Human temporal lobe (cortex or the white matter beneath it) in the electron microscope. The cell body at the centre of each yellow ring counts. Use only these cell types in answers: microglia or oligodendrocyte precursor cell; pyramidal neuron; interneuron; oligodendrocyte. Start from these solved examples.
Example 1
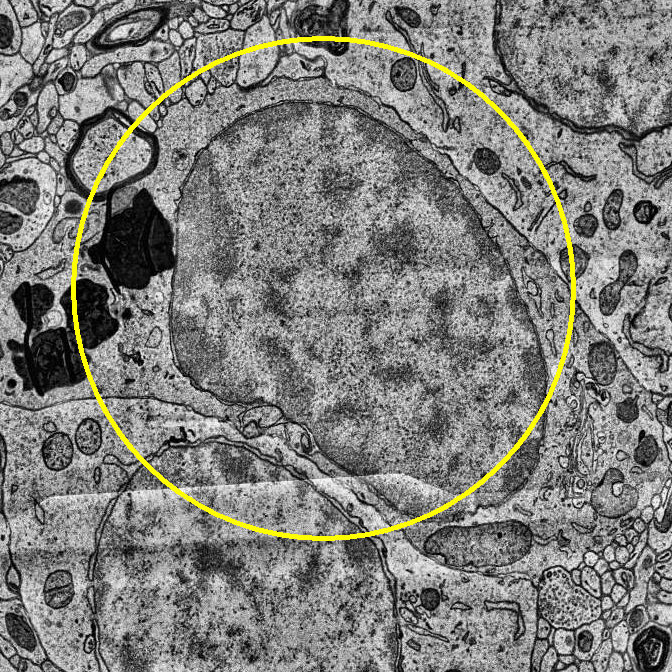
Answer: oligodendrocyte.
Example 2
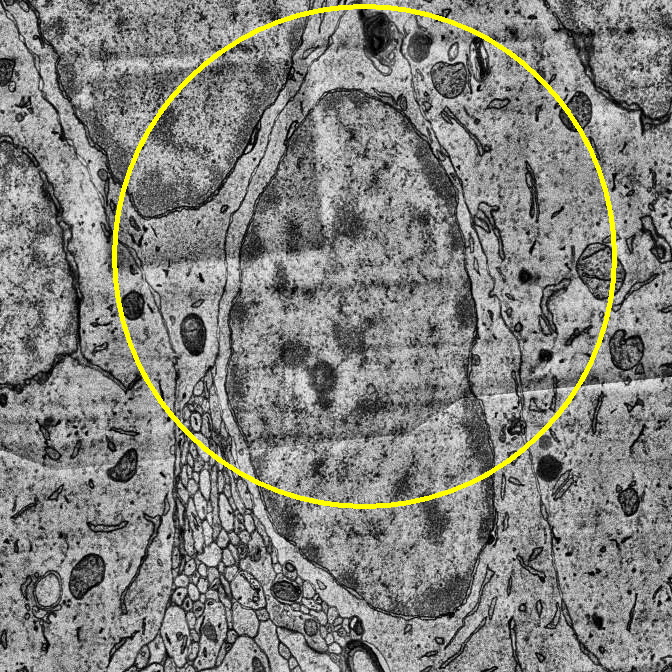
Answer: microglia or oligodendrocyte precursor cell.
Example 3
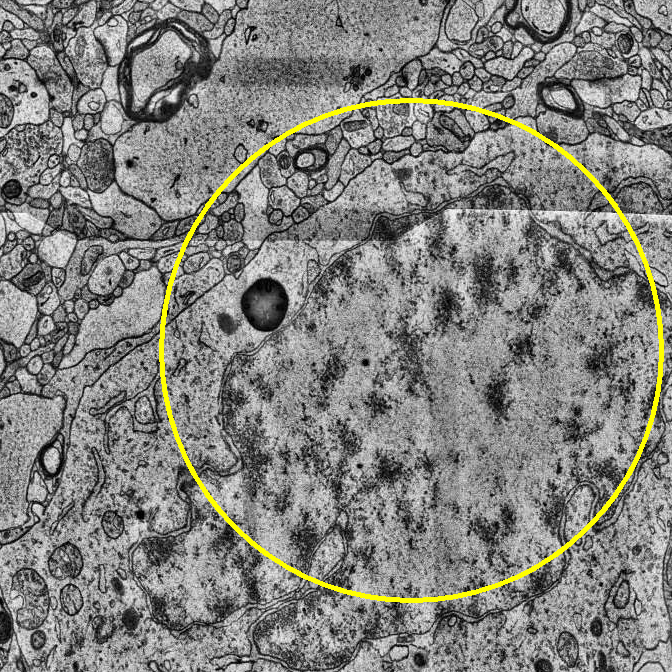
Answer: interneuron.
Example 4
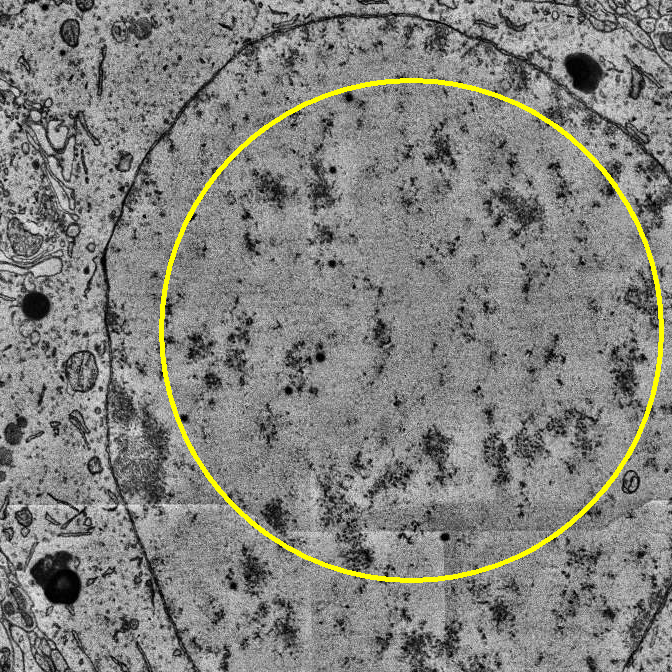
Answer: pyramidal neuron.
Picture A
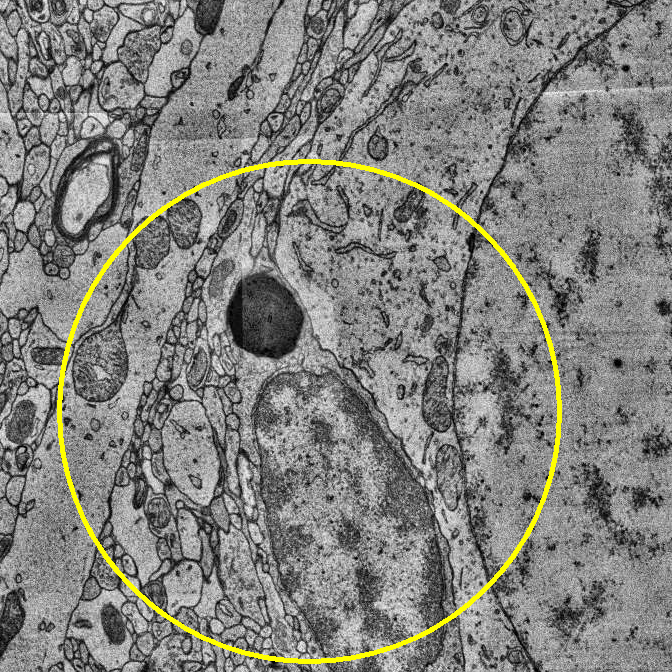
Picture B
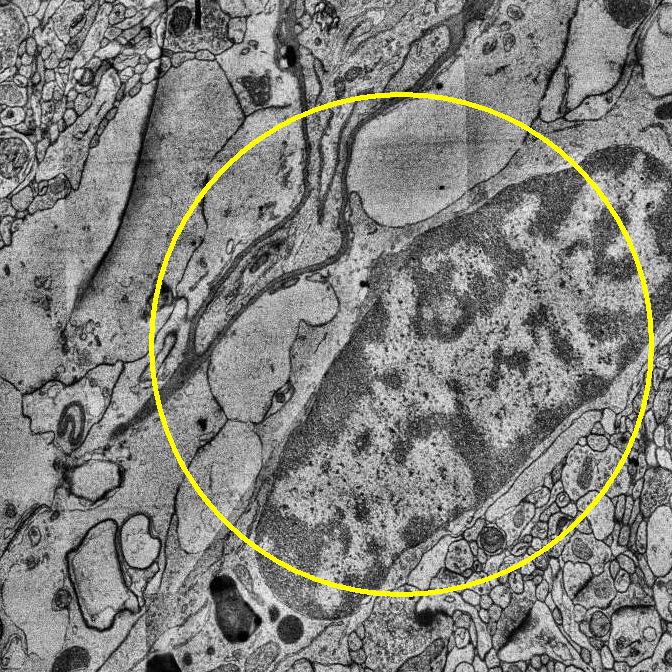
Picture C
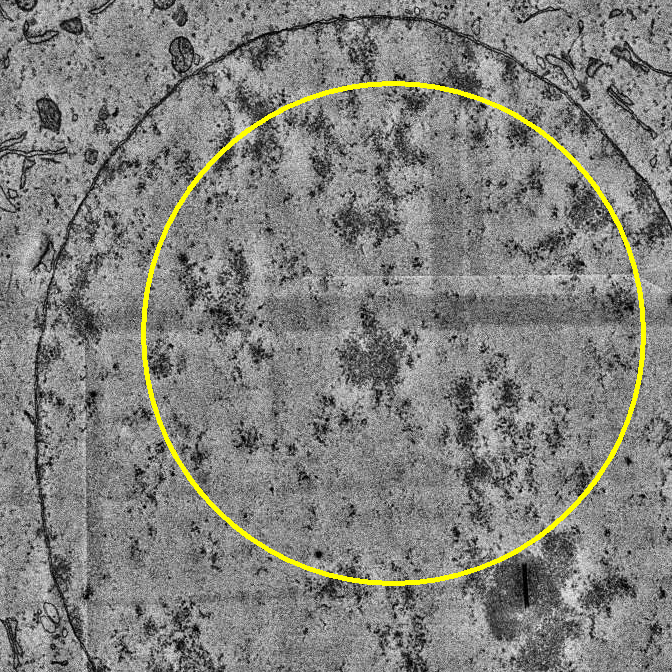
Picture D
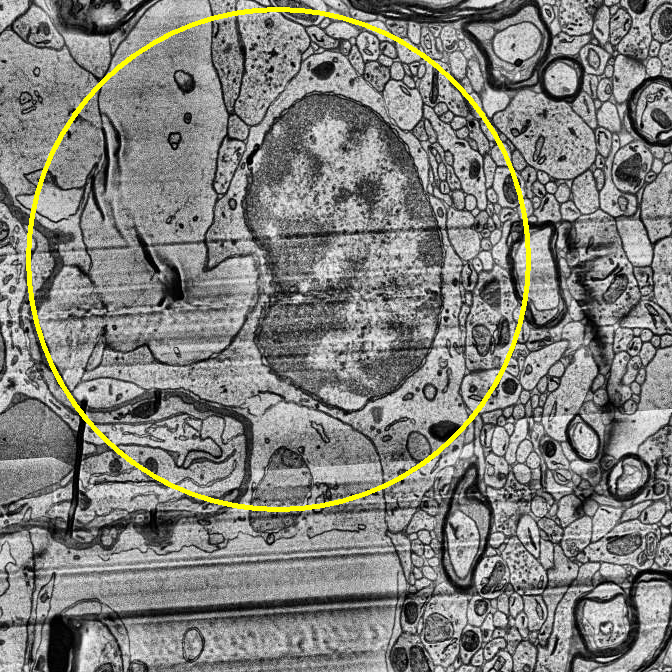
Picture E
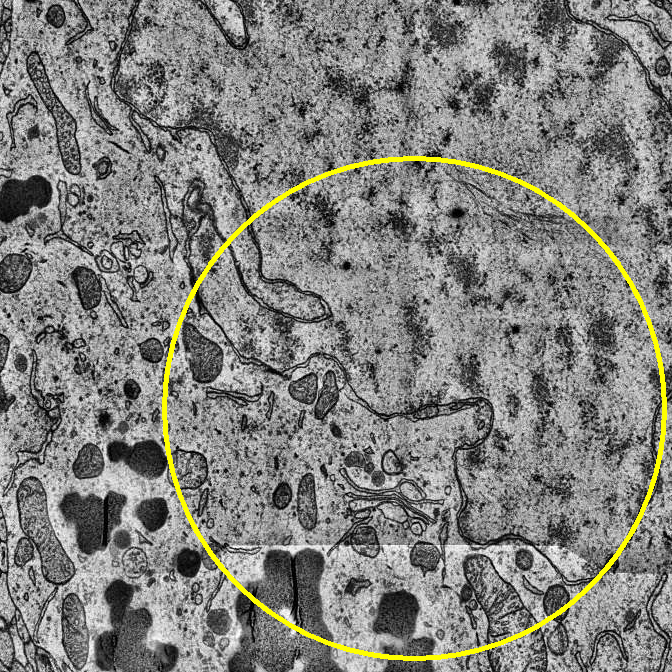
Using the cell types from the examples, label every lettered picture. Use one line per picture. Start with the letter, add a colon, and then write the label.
A: oligodendrocyte.
B: microglia or oligodendrocyte precursor cell.
C: pyramidal neuron.
D: microglia or oligodendrocyte precursor cell.
E: interneuron.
